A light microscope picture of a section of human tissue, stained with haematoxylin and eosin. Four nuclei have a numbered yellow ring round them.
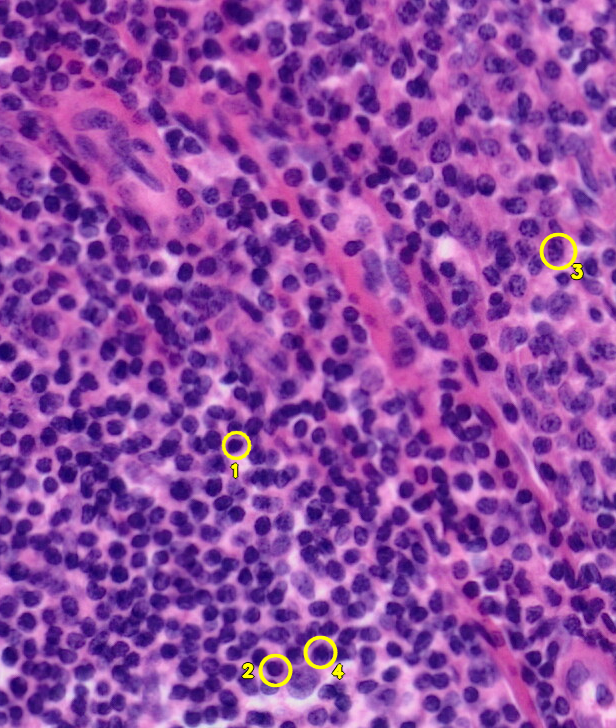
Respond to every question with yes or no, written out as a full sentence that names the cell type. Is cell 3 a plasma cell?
Yes, the one numbered 3 is a plasma cell.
